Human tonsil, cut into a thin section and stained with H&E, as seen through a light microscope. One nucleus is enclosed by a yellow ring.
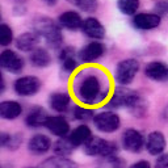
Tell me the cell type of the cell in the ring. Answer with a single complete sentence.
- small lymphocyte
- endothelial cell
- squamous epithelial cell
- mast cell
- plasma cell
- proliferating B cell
The cell in the ring is a small lymphocyte.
